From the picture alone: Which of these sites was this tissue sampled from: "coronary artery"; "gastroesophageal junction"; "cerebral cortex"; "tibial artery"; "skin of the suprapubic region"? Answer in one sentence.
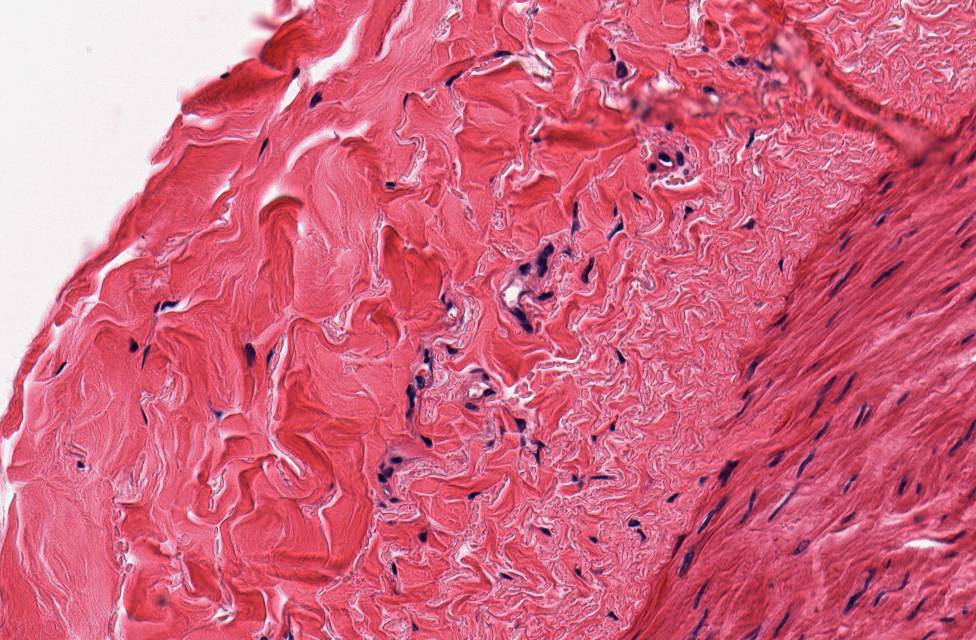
The site this tissue was sampled from is the tibial artery.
